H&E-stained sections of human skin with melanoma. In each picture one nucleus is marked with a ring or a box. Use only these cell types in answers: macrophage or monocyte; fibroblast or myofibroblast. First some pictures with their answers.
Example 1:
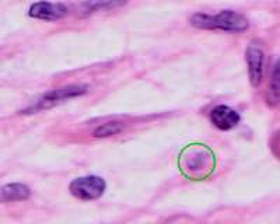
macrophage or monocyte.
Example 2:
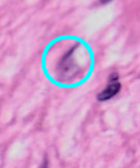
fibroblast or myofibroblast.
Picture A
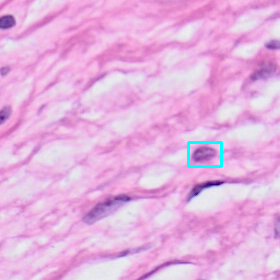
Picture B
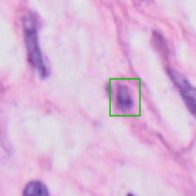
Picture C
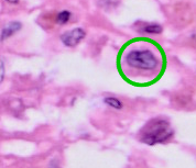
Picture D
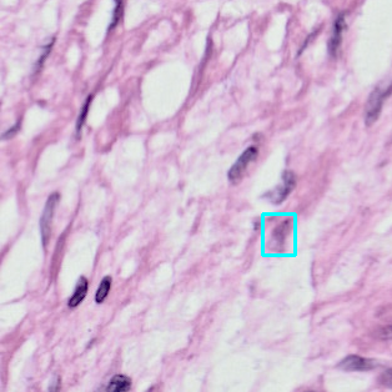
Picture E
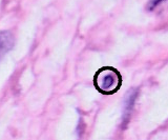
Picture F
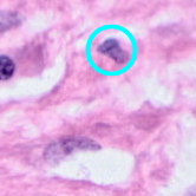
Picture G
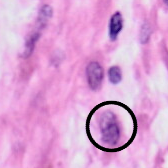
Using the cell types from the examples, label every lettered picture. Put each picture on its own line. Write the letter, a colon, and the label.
A: macrophage or monocyte.
B: macrophage or monocyte.
C: macrophage or monocyte.
D: fibroblast or myofibroblast.
E: macrophage or monocyte.
F: macrophage or monocyte.
G: macrophage or monocyte.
